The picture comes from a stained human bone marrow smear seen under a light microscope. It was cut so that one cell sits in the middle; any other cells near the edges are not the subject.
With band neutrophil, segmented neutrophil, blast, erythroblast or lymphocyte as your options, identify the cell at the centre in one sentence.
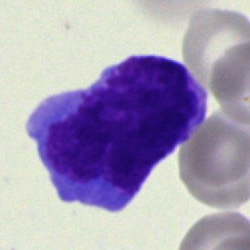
The cell that lies at the centre of the crop is a blast.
